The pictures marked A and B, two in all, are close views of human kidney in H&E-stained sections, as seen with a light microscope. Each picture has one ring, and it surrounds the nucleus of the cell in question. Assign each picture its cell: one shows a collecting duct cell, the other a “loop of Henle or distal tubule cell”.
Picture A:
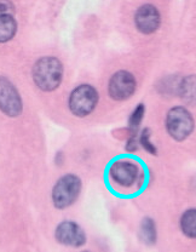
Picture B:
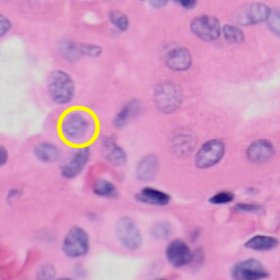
A: collecting duct cell
B: loop of Henle or distal tubule cell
